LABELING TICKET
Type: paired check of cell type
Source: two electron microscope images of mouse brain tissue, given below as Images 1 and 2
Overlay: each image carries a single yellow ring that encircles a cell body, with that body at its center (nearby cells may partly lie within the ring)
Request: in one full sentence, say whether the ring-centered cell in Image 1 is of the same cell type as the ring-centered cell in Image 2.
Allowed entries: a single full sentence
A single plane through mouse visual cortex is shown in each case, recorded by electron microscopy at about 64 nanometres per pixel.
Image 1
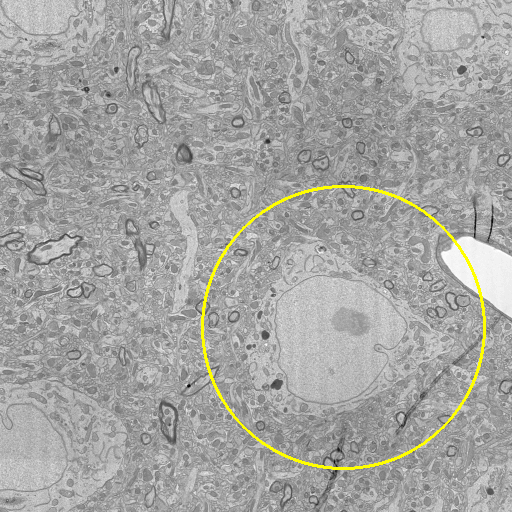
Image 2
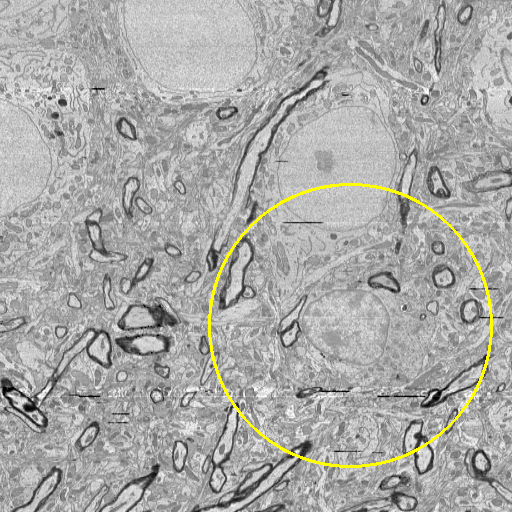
No, the cells centered in the rings of Image 1 and Image 2 are of two types.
